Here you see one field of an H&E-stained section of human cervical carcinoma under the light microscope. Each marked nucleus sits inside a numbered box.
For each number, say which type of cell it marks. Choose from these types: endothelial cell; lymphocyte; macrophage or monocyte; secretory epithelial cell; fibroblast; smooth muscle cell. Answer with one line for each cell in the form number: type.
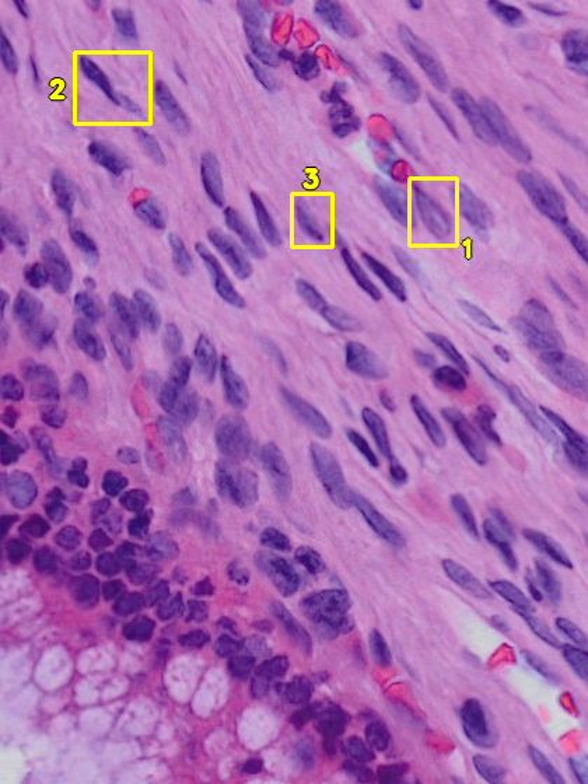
1: endothelial cell
2: fibroblast
3: fibroblast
